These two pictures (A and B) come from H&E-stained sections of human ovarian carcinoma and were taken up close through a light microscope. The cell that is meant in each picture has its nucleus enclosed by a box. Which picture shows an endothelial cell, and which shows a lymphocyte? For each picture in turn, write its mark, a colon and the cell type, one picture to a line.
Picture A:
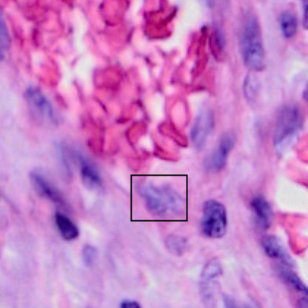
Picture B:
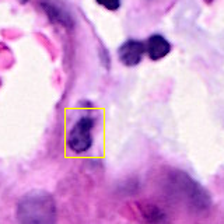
A: endothelial cell
B: lymphocyte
